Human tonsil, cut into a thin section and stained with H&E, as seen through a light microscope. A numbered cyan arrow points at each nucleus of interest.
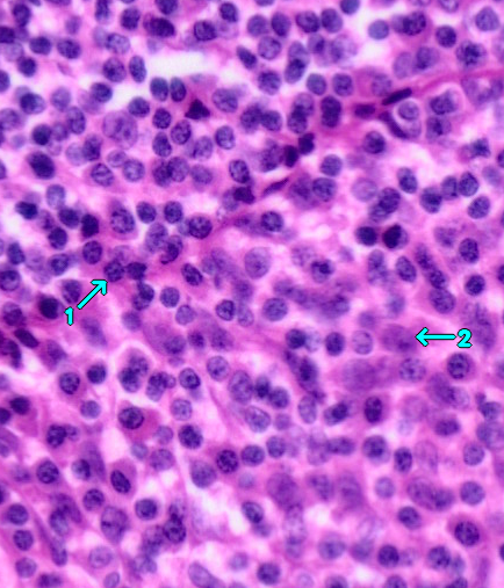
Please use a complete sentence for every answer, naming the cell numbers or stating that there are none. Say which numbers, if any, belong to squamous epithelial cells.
Of the cells marked with numbers, cell 2 is the only one that is a squamous epithelial cell.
